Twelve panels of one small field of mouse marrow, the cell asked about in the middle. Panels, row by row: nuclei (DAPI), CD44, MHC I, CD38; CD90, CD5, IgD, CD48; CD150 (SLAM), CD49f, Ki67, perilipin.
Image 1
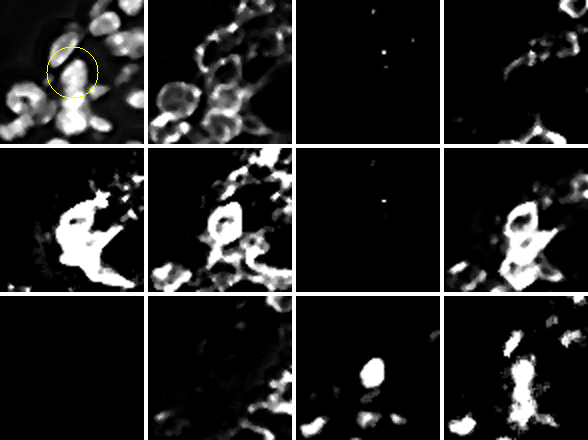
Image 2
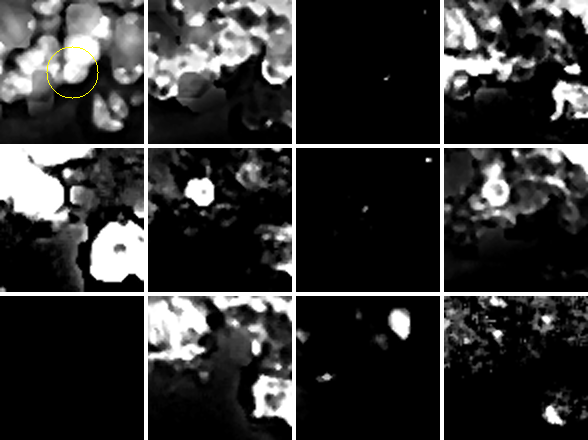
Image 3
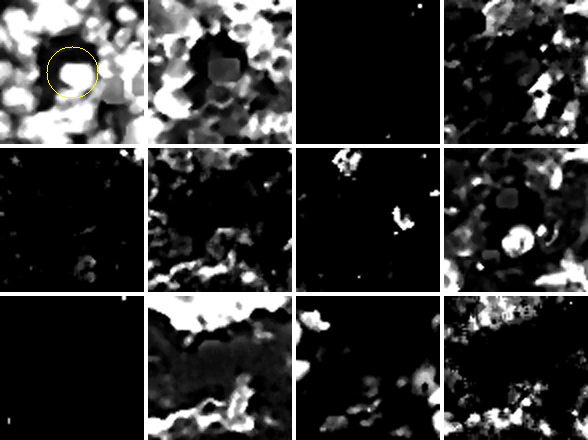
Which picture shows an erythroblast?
Picture 3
